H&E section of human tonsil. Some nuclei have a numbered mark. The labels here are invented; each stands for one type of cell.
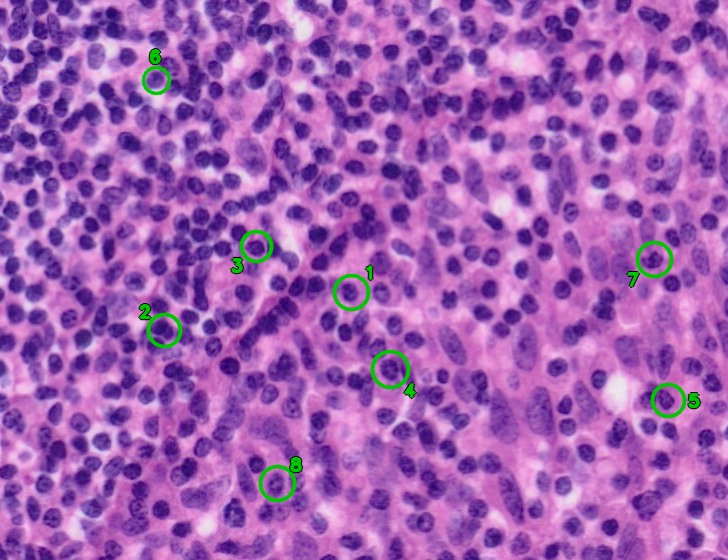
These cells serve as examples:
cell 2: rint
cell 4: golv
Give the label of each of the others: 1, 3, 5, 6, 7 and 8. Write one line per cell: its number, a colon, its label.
1: golv
3: rint
5: golv
6: rint
7: golv
8: golv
